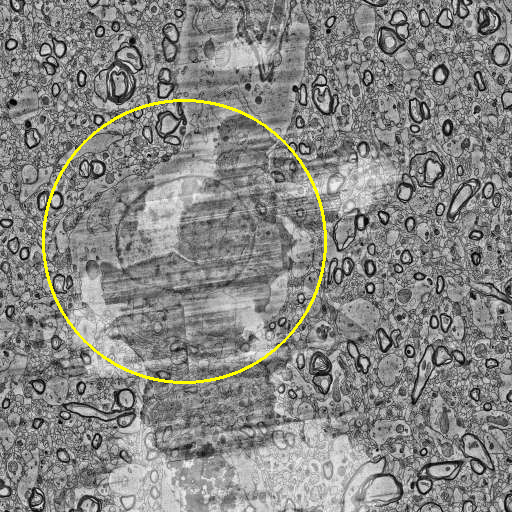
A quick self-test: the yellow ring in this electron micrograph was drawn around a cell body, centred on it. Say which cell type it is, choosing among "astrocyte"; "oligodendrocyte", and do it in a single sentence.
The yellow-ringed cell is an astrocyte.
